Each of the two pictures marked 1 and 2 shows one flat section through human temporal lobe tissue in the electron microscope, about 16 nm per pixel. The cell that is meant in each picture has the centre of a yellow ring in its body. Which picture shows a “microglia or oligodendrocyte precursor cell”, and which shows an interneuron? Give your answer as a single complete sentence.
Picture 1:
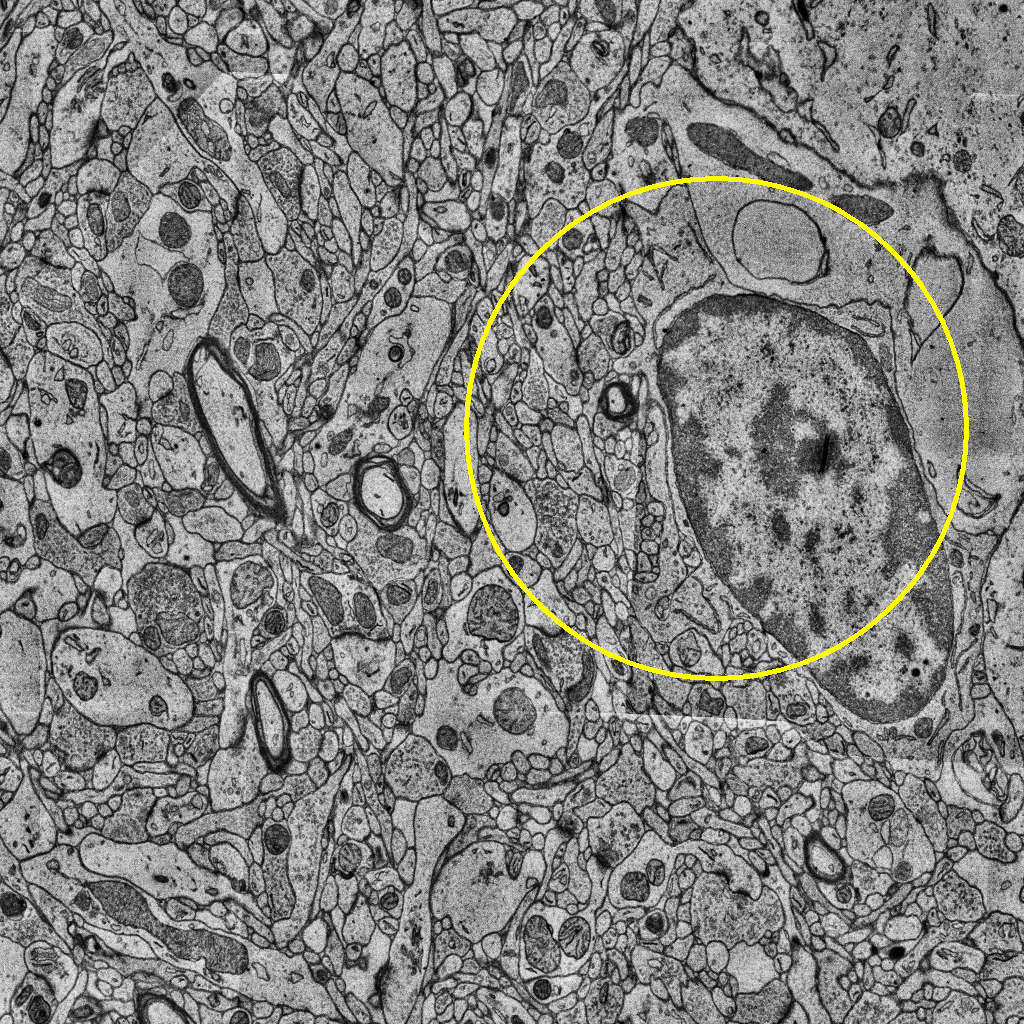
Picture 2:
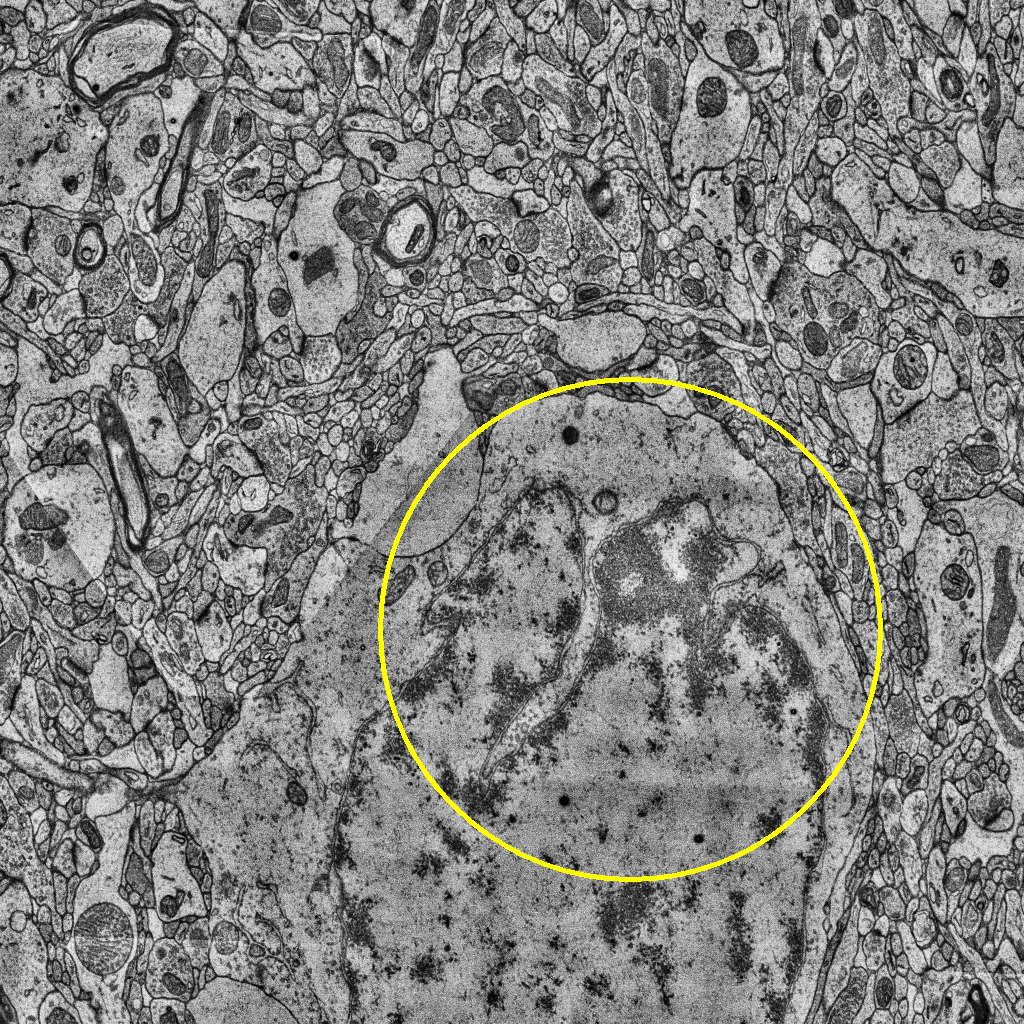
Picture 2 shows an interneuron, while picture 1 shows a “microglia or oligodendrocyte precursor cell”.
